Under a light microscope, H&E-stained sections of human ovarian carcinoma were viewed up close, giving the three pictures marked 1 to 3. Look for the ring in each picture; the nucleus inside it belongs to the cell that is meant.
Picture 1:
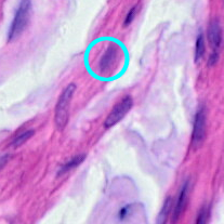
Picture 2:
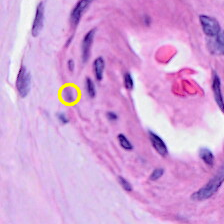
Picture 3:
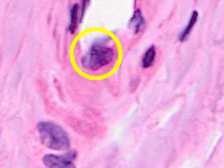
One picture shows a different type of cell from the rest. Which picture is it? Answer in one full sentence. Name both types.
The different one is picture 3; it shows an endothelial cell, whereas all the others show smooth muscle cells.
